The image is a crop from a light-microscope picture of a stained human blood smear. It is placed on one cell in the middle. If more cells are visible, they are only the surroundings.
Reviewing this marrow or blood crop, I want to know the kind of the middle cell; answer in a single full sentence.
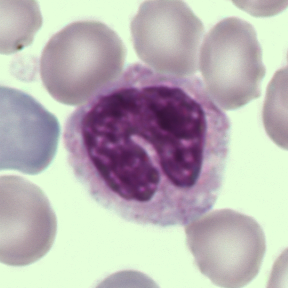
Regarding the central cell, it is a band neutrophil.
